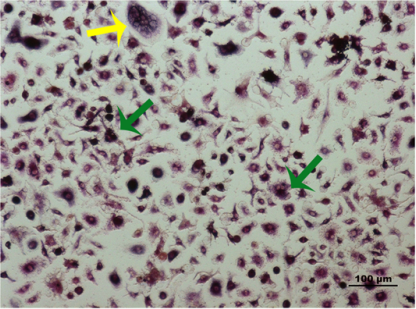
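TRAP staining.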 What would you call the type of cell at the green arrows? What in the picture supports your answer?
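Preosteoclasts. The marked cells are single, mononuclear and purple-stained. They are spread out with short cytoplasmic processes. Many similar cells fill the field.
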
